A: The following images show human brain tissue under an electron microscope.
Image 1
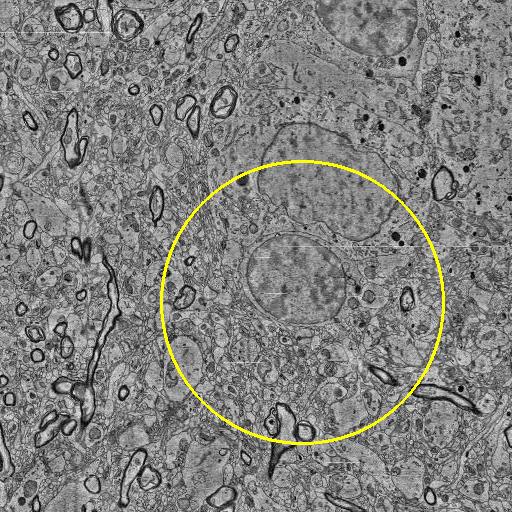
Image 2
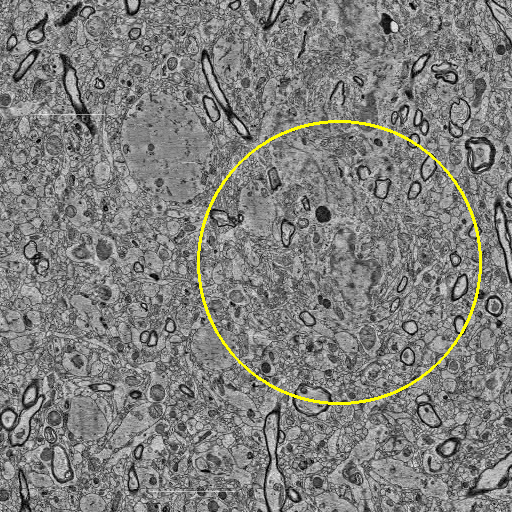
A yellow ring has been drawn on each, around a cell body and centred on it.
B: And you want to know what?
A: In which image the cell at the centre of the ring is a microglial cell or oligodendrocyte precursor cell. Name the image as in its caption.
Image 2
